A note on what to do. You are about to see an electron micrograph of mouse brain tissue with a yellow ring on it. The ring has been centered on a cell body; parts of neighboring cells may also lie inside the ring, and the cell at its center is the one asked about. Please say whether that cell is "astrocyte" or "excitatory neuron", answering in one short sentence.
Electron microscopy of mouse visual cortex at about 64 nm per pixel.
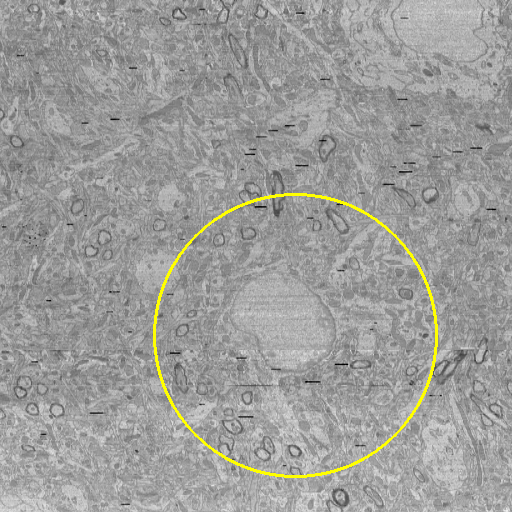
The yellow ring sits on an astrocyte.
